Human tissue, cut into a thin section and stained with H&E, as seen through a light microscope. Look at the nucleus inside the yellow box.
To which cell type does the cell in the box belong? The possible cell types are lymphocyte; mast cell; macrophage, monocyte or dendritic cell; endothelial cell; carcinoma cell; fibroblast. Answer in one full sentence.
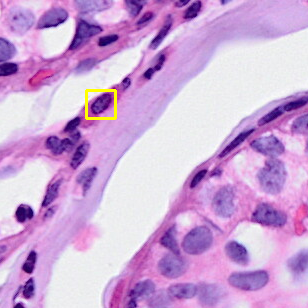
As for its identity, the cell in the box is a mast cell.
